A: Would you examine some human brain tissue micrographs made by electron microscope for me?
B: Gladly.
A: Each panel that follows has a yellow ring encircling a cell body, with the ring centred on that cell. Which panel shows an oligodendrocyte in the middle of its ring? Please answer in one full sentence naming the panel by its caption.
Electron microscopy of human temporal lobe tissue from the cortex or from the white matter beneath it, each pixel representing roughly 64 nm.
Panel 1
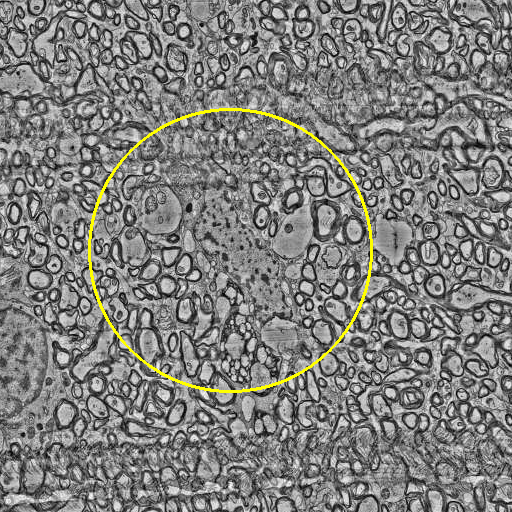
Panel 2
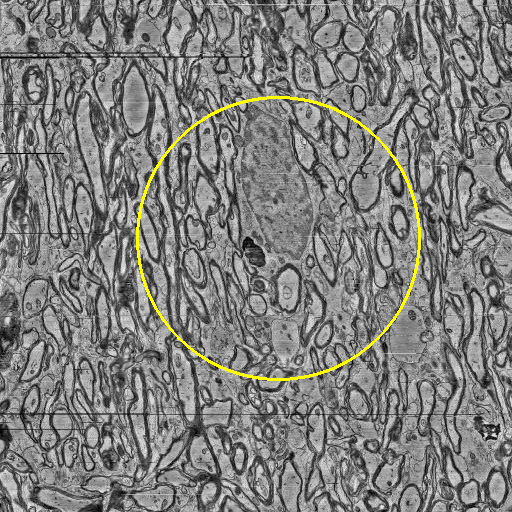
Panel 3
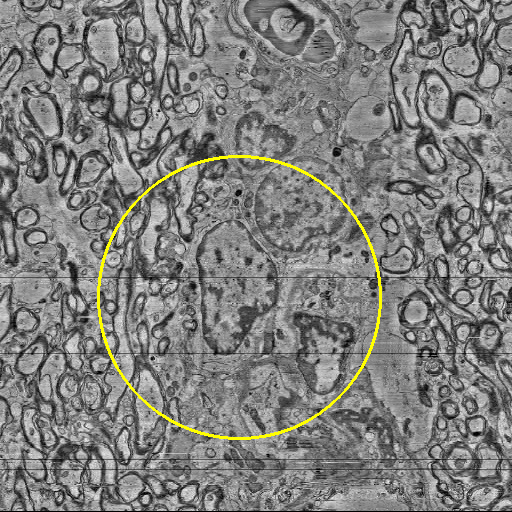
Panel 2 is where the ring sits centred on the requested cell.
